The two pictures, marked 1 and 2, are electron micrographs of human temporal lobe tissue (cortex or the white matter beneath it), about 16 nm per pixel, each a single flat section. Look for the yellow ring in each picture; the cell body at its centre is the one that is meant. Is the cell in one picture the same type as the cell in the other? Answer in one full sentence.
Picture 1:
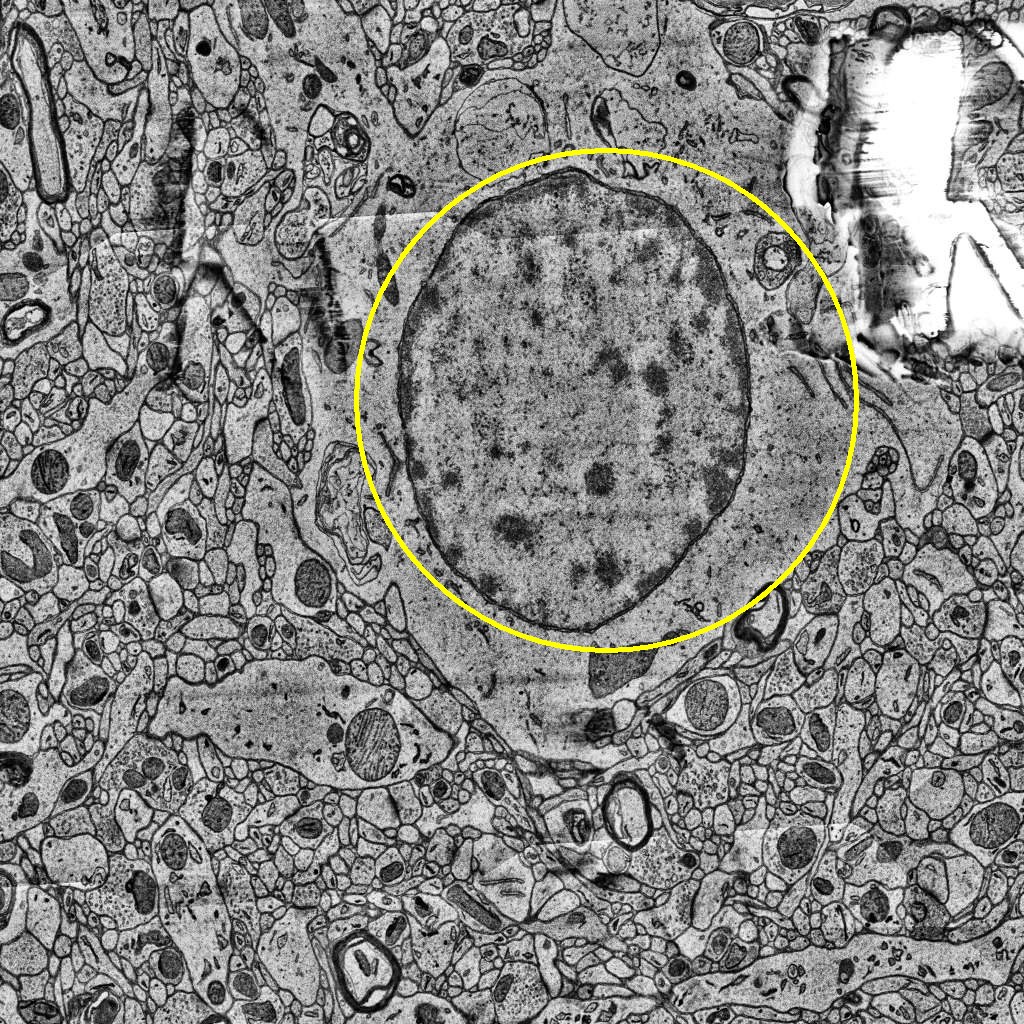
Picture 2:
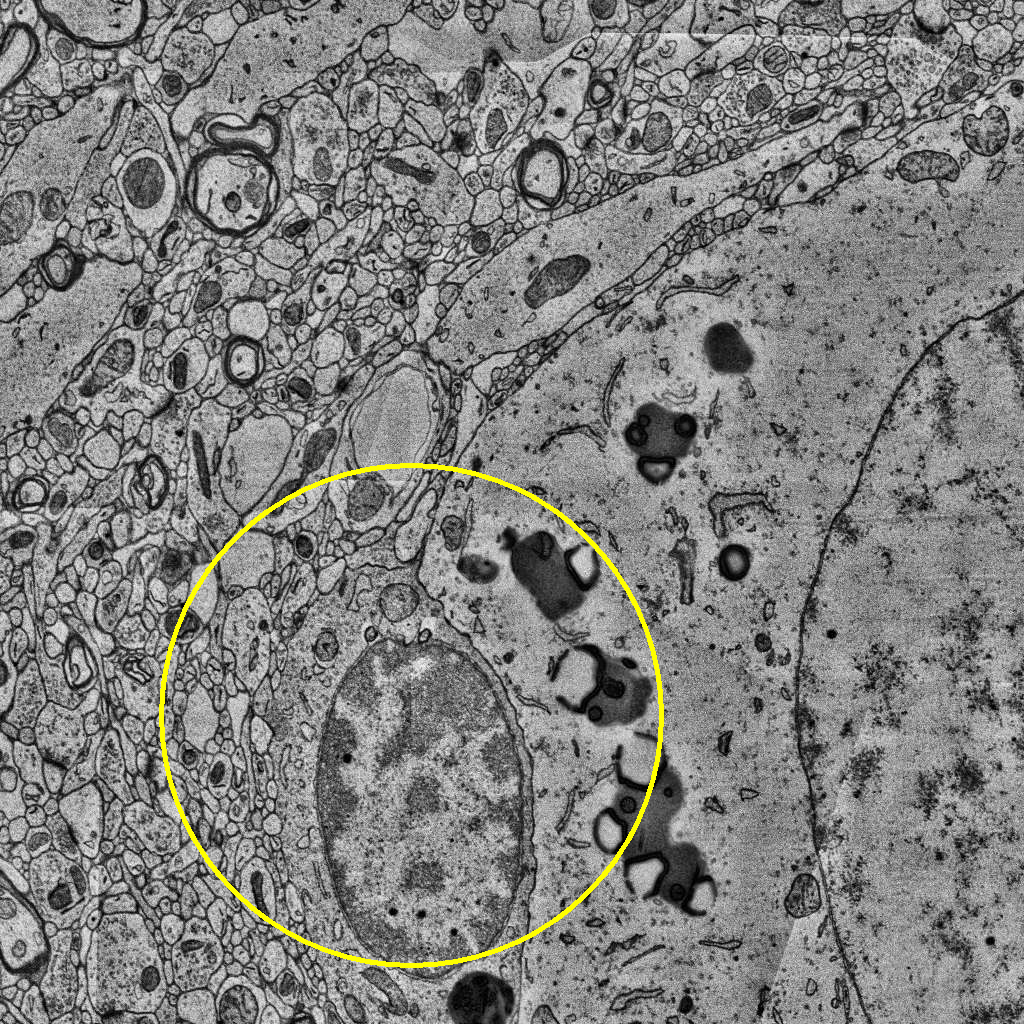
No; the cell in picture 1 is an astrocyte, while the one in picture 2 is an oligodendrocyte.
